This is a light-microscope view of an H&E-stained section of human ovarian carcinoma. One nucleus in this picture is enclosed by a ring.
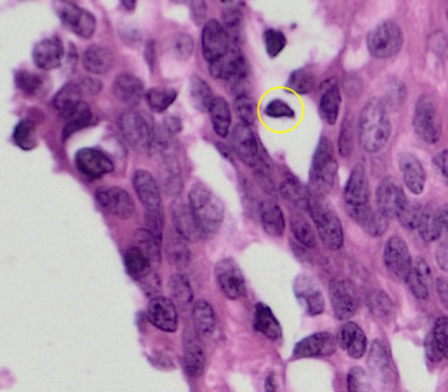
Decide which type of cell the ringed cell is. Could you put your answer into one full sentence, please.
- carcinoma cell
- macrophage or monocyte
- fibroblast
On this particular slide, the ringed cell is a carcinoma cell.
